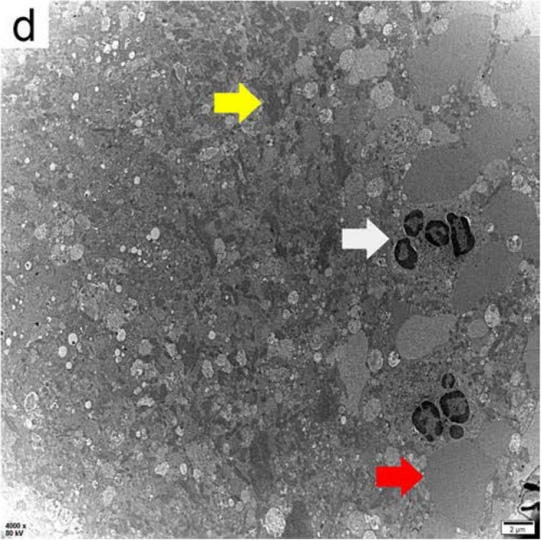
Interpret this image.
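This section of a blood clot is dominated by a dense, granular and fibrous mass with many small pale vesicular bodies, in which fibrin lies tightly packed. At the edges, a few smooth, evenly gray profiles without nuclei are erythrocytes. Two cells with dark nuclei divided into several lobes lie within the mass; these are neutrophils. Compared with an open meshwork, the material here is compact, with little space between its components.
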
